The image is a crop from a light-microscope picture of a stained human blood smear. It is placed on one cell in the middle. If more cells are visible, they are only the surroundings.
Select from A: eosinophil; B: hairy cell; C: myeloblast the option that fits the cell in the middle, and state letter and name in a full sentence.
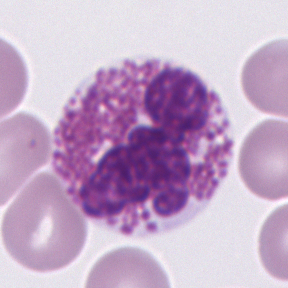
Since the middle cell is an eosinophil, option A is the right one.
